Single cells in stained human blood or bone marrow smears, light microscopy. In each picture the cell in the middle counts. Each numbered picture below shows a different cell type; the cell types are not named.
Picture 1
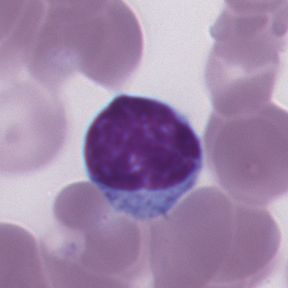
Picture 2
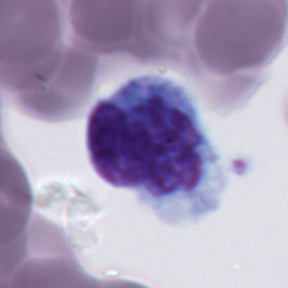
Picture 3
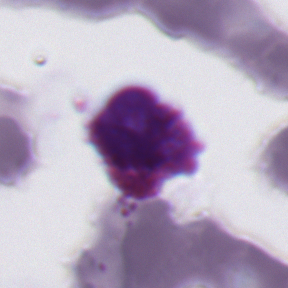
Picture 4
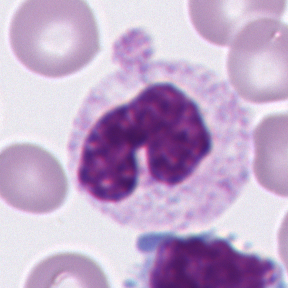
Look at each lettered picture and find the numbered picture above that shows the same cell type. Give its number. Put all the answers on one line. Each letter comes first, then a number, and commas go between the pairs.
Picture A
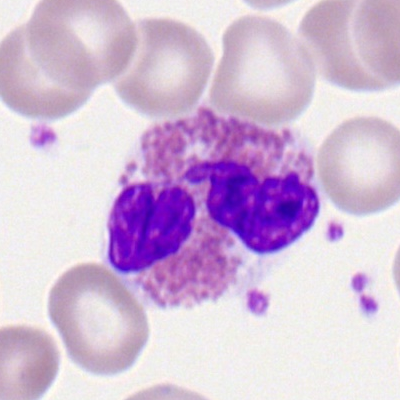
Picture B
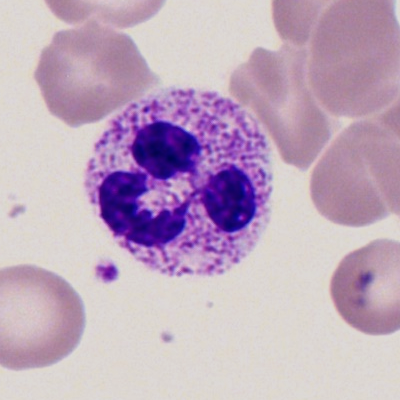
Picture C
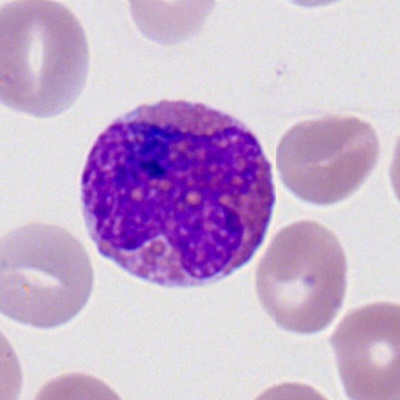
A 3, B 4, C 3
